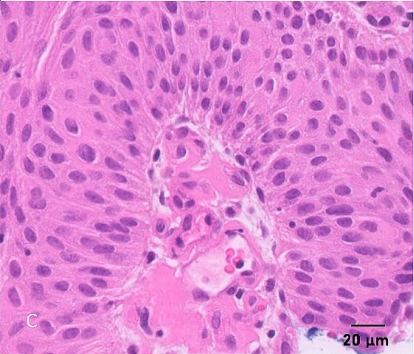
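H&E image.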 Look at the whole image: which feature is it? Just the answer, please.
Fibrovascular core.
